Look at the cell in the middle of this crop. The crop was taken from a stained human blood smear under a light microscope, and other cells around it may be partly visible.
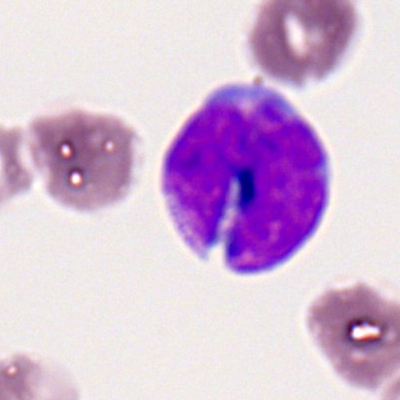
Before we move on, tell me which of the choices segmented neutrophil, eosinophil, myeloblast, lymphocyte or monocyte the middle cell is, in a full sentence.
This crop's central cell is a myeloblast.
